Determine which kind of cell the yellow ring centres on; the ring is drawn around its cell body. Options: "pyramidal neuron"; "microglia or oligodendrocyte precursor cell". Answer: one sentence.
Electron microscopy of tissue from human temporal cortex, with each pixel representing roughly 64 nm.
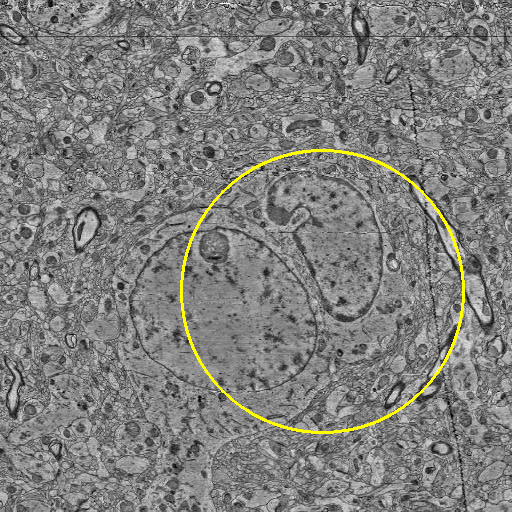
The ring centres on a microglial cell or oligodendrocyte precursor cell.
